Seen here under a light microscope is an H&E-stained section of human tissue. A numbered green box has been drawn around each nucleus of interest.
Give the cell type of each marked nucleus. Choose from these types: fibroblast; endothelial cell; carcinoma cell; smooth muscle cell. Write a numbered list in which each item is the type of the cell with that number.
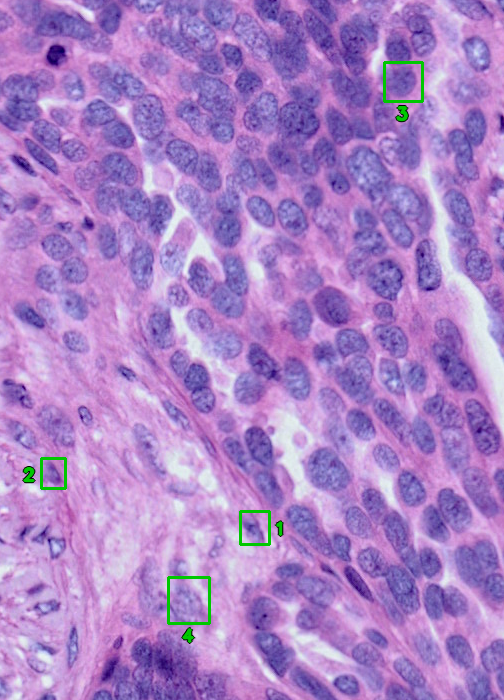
1. fibroblast
2. fibroblast
3. carcinoma cell
4. fibroblast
